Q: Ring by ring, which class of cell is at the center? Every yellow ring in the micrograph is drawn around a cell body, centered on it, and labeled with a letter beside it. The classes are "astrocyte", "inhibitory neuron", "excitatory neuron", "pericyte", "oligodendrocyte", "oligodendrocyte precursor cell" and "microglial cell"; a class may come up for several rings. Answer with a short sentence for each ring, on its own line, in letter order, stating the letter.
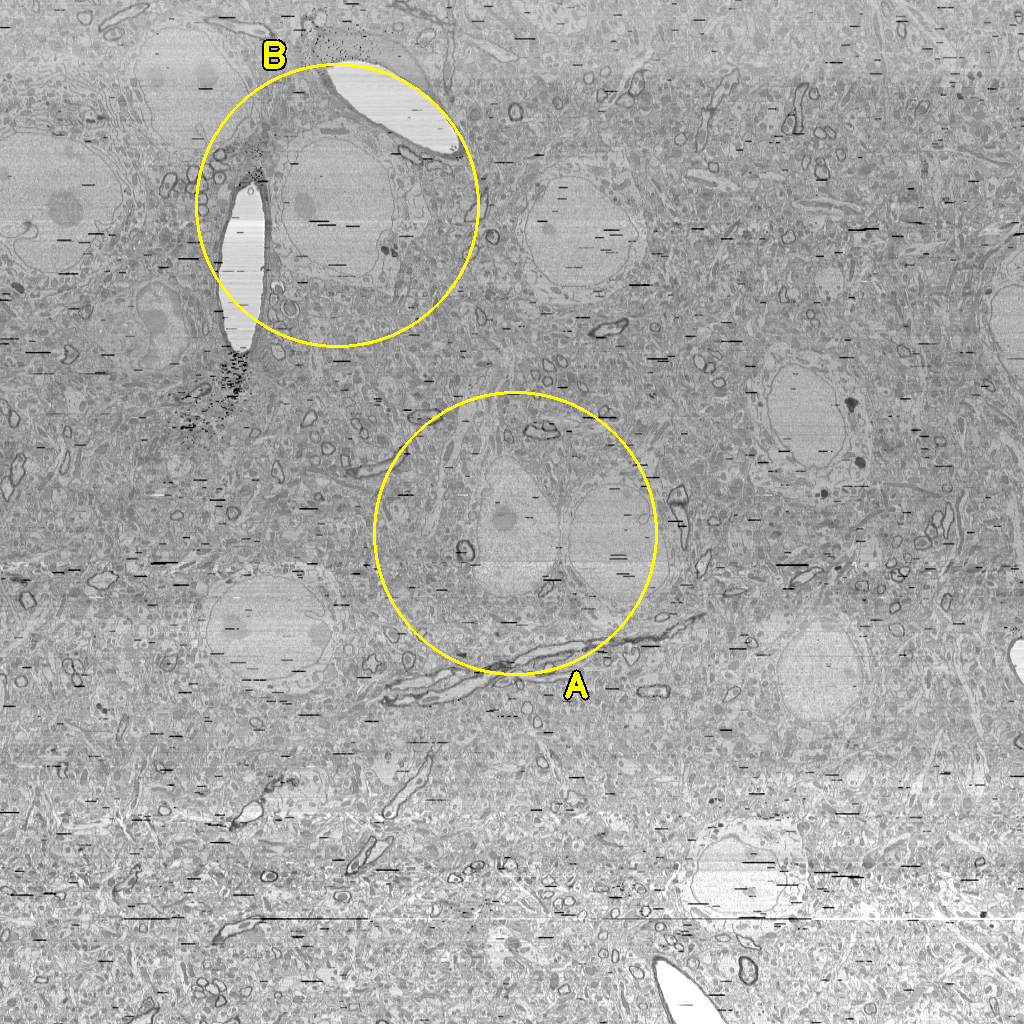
Ring A holds an astrocyte at its center.
Ring B holds an excitatory neuron at its center.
